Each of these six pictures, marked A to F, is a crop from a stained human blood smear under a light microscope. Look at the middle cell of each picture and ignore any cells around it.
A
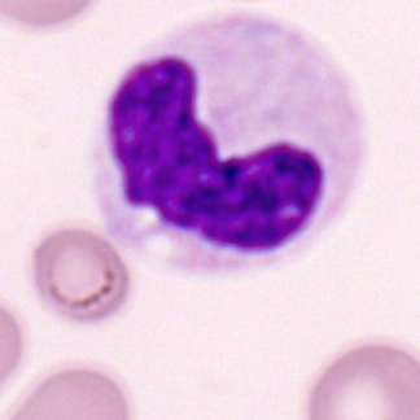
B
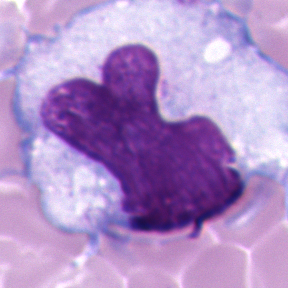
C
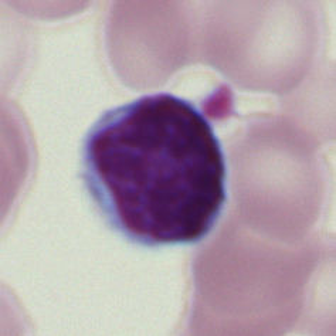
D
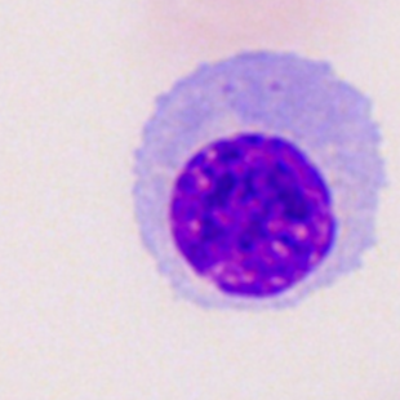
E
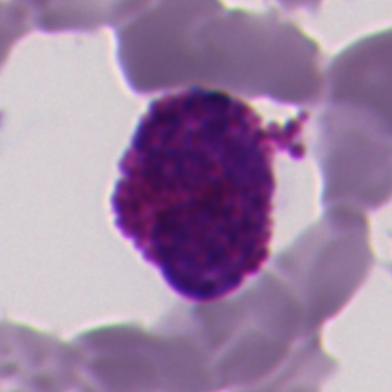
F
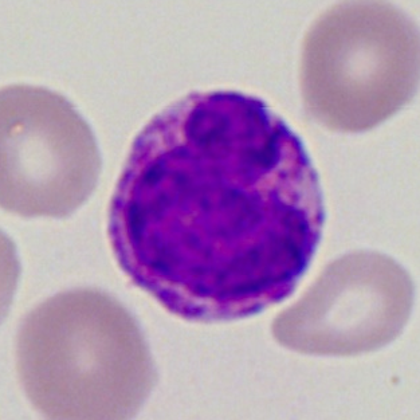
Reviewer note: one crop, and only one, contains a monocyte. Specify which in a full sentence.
The one showing a monocyte is crop B.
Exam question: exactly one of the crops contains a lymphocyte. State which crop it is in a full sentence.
It is crop C, not any other, that shows a lymphocyte.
